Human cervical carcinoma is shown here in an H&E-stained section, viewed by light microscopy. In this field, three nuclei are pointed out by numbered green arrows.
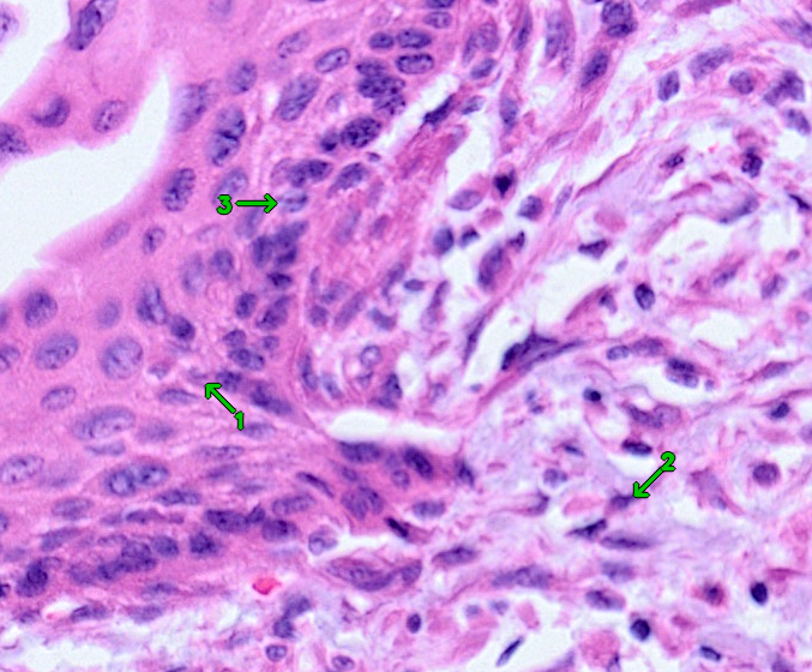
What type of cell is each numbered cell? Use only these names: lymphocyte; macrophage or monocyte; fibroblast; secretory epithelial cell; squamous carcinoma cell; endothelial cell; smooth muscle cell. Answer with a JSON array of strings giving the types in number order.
["squamous carcinoma cell", "fibroblast", "squamous carcinoma cell"]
